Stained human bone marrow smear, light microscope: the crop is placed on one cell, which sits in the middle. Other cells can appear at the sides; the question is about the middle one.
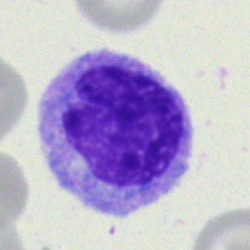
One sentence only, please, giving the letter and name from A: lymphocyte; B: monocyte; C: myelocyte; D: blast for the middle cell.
In the centre of the crop there is a monocyte, making option B correct.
